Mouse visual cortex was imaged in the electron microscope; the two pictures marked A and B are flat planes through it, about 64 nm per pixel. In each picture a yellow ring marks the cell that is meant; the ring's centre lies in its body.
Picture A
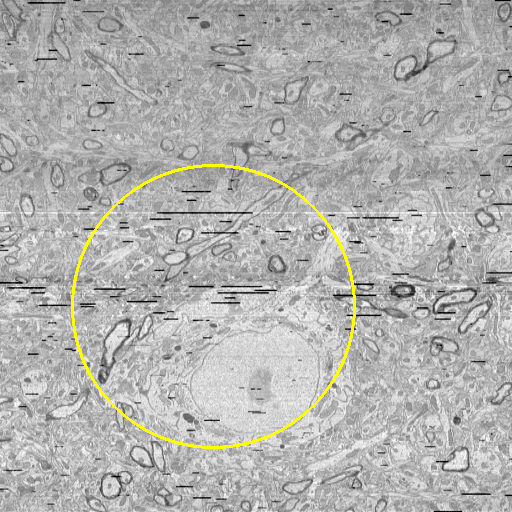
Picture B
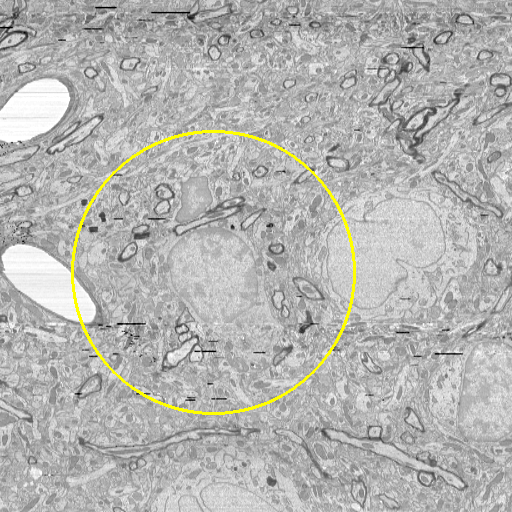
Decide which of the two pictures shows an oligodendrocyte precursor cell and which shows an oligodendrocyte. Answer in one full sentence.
The cell in picture A is an oligodendrocyte precursor cell, and the one in picture B is an oligodendrocyte.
